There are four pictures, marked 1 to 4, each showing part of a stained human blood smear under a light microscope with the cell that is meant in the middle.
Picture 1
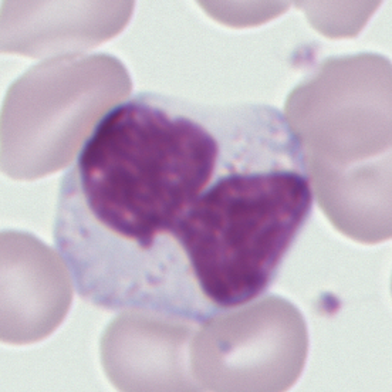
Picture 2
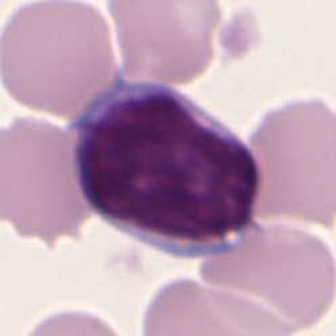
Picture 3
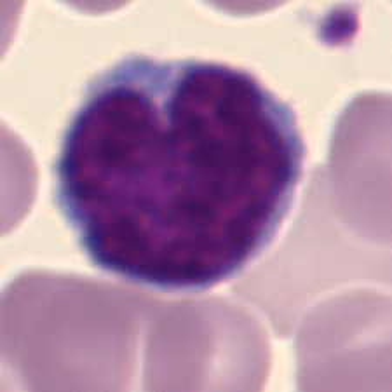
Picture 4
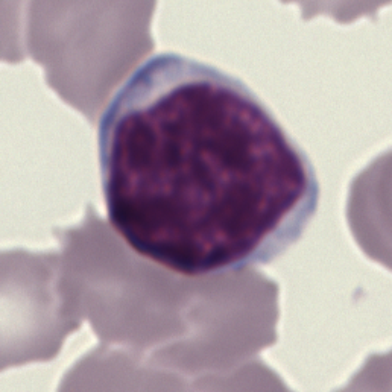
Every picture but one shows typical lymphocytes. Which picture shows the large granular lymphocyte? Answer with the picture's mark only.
1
